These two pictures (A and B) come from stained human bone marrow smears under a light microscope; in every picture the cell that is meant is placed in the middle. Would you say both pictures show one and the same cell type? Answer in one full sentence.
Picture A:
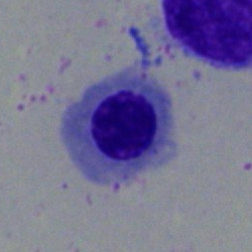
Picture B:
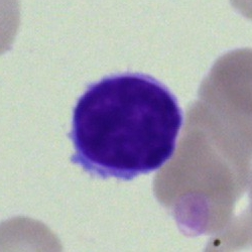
No. Picture A shows an erythroblast, but picture B shows a lymphocyte.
